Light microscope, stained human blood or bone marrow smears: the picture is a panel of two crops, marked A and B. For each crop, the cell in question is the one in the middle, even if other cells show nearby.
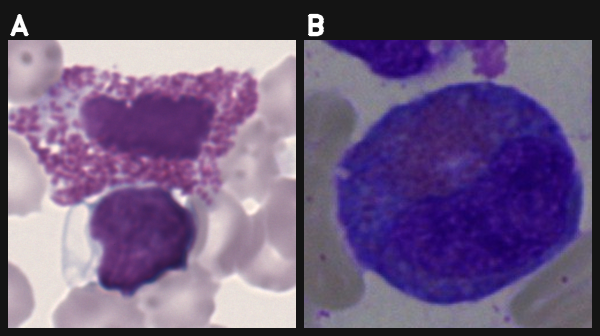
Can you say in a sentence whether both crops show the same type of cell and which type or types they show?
Yes, the centre cells of both crops are eosinophils.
